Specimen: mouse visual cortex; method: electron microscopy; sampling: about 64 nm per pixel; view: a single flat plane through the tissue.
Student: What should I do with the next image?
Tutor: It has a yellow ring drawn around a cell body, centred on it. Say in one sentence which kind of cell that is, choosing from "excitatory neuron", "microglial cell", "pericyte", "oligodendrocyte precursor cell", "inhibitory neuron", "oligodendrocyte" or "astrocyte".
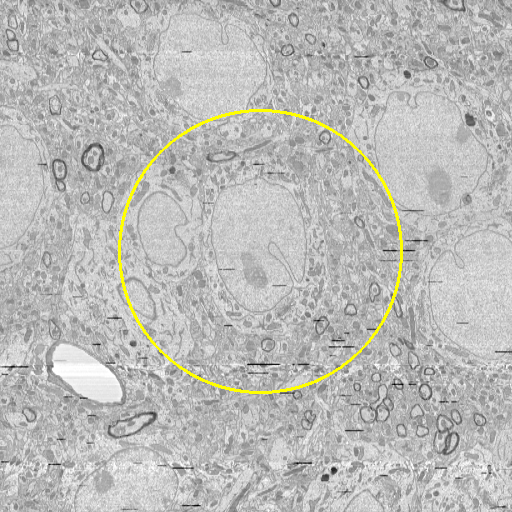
The ring's centre is occupied by an inhibitory neuron.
